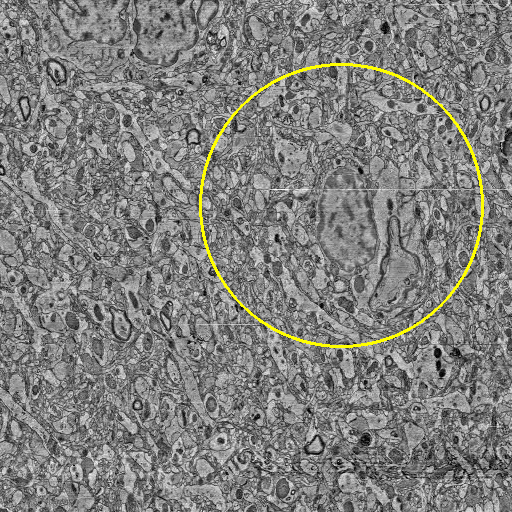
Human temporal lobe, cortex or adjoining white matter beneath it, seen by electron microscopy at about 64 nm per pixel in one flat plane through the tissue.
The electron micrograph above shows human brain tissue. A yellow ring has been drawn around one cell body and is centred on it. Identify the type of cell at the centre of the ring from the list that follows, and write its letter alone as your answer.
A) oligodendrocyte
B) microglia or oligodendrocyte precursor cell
A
